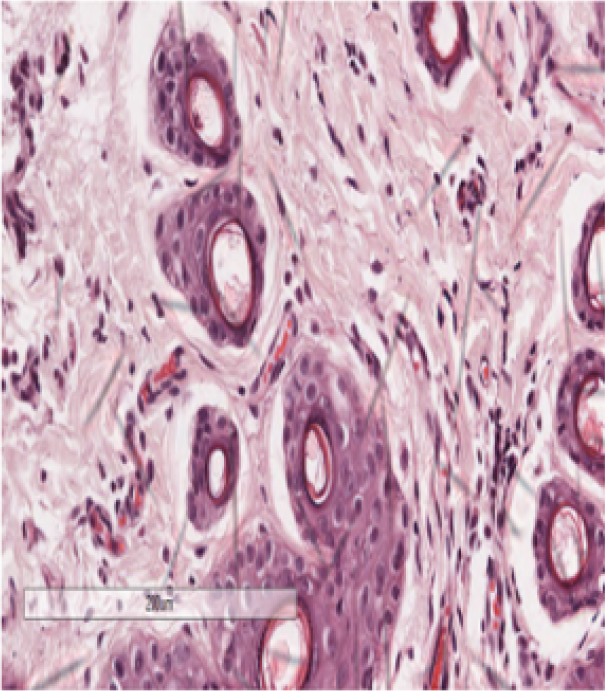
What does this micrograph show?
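This is a section of skin dermis stained pink and purple, with several hair follicles cut across among connective tissue. Each follicle appears as a ring of epithelial cells with purple nuclei around a central hair shaft outlined in deep red. Between the follicles the connective tissue is pale pink and loosely textured, with many small dark nuclei scattered through it. Small blood vessels containing red blood cells run between the follicles. In the lower middle a larger, denser mass of epithelial cells surrounds one of the hair profiles.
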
